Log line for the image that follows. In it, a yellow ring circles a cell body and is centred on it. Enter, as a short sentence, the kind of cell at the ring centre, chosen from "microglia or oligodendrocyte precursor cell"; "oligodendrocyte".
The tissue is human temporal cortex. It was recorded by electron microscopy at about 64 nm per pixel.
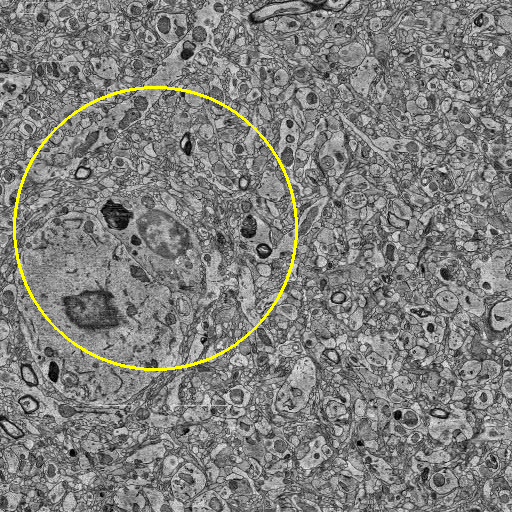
The ring centre is occupied by an oligodendrocyte.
